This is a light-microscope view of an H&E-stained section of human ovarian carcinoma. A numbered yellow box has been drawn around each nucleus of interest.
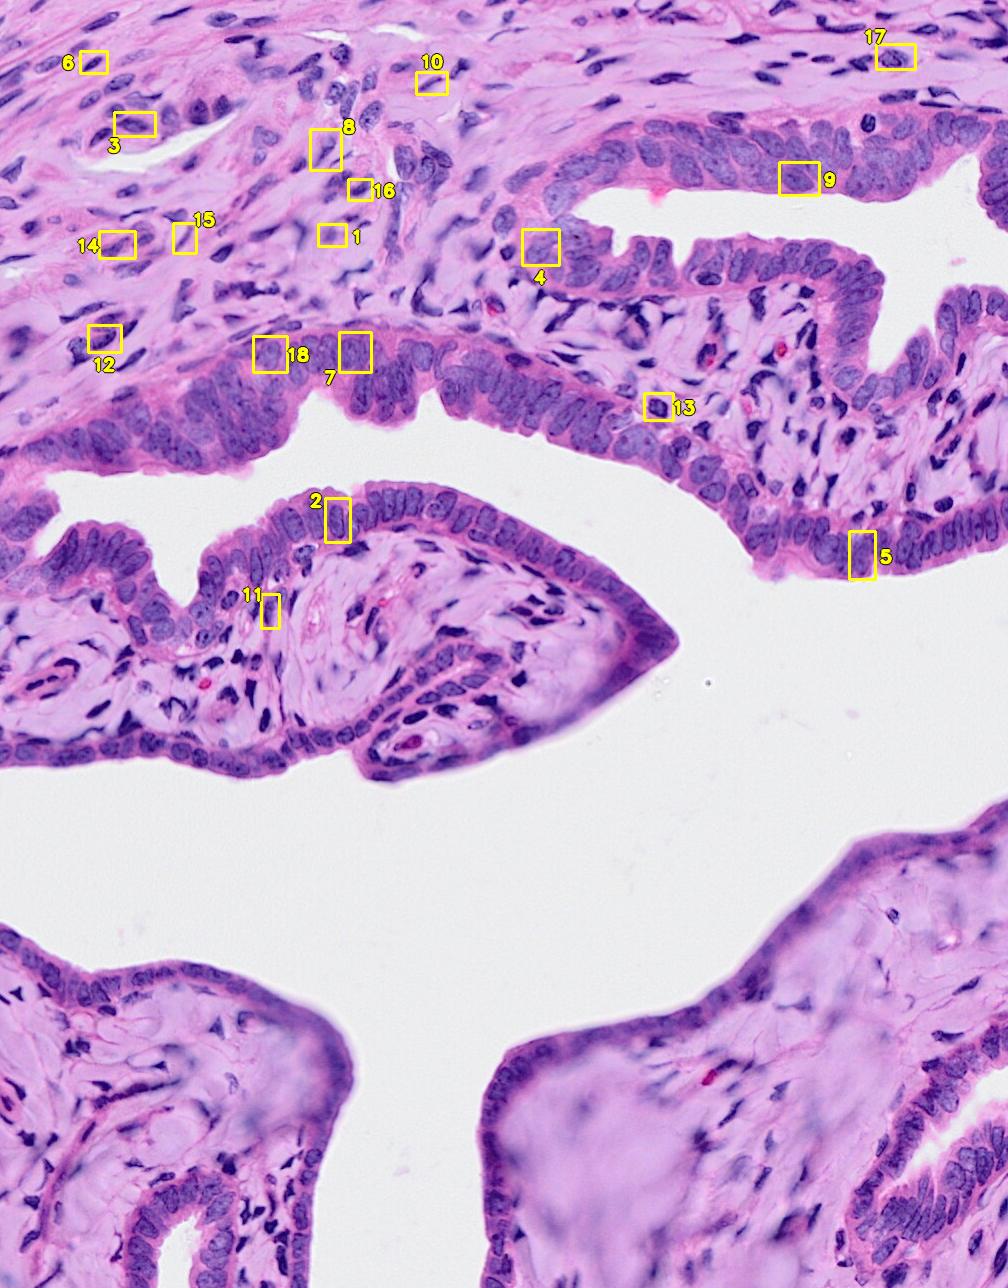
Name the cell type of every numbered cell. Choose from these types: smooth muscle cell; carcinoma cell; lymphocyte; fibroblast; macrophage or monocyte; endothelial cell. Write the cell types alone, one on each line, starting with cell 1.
smooth muscle cell
carcinoma cell
endothelial cell
carcinoma cell
carcinoma cell
smooth muscle cell
carcinoma cell
smooth muscle cell
carcinoma cell
smooth muscle cell
fibroblast
endothelial cell
lymphocyte
smooth muscle cell
smooth muscle cell
smooth muscle cell
endothelial cell
carcinoma cell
